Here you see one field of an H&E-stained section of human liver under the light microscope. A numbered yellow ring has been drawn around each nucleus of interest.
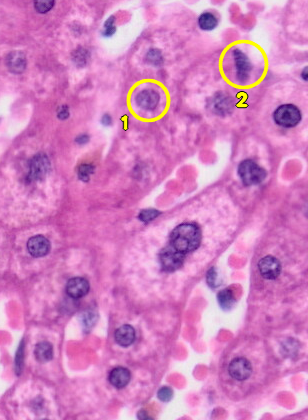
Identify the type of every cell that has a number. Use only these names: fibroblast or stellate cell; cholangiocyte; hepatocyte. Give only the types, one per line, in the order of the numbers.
hepatocyte
fibroblast or stellate cell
